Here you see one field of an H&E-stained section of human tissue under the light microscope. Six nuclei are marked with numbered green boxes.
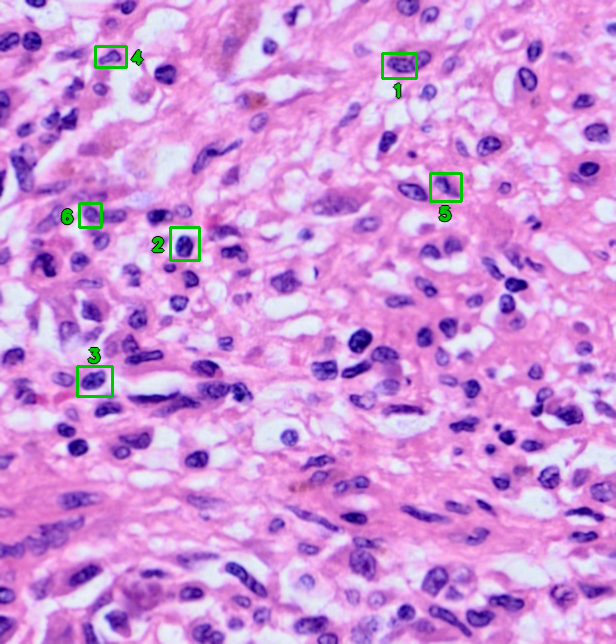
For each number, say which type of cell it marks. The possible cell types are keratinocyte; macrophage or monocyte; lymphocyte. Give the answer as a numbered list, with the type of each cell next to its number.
1. macrophage or monocyte
2. lymphocyte
3. lymphocyte
4. macrophage or monocyte
5. macrophage or monocyte
6. macrophage or monocyte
